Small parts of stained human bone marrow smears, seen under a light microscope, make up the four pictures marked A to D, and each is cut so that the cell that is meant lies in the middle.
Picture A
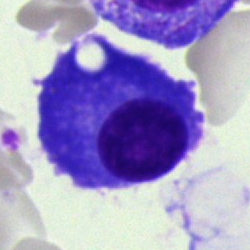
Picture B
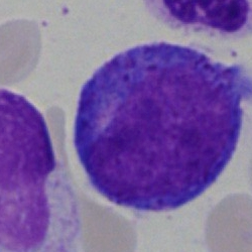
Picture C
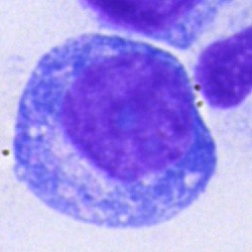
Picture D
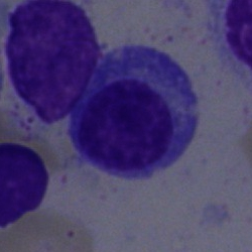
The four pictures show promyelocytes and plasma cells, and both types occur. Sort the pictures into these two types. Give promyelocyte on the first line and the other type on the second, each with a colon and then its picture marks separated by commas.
promyelocyte: B, C
plasma cell: A, D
